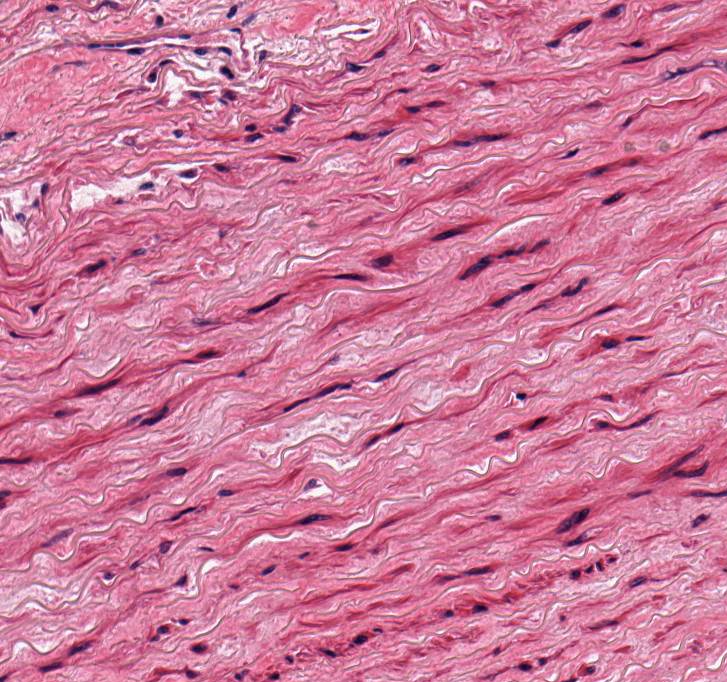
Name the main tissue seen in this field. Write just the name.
tunica media of an artery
